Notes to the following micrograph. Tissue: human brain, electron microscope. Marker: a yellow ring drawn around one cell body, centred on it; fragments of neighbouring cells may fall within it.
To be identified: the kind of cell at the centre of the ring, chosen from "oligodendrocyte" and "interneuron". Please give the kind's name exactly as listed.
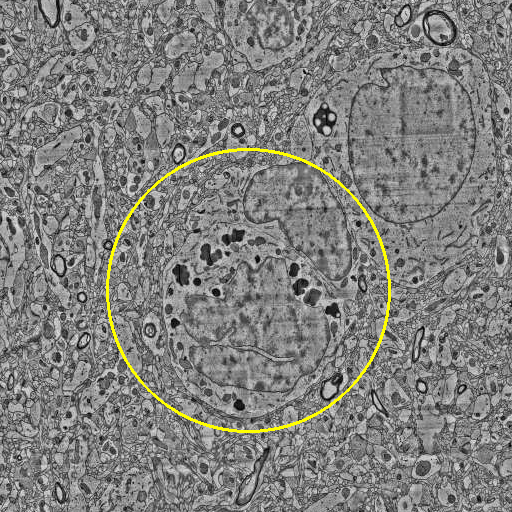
interneuron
